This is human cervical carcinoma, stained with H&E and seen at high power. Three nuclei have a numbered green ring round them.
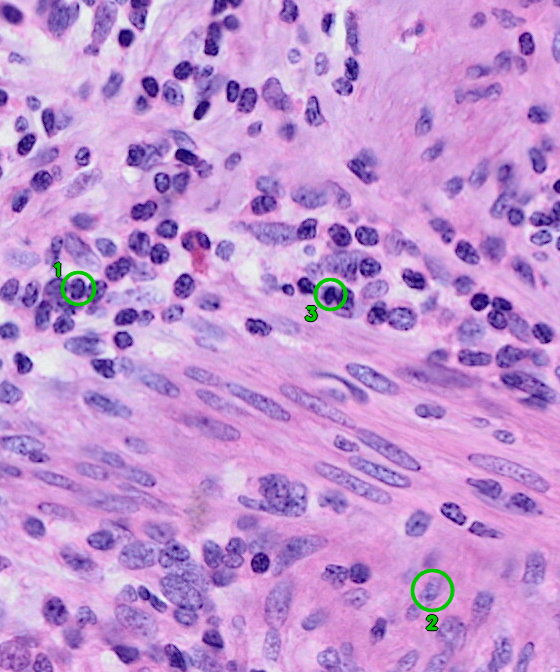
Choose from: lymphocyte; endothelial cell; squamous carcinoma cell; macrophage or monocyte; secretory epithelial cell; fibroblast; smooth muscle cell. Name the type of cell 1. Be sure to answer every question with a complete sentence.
The mark numbered 1 indicates the nucleus of a lymphocyte.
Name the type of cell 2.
Nucleus 2 in this section belongs to a smooth muscle cell.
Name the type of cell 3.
Classified as a lymphocyte is the cell with the number 3.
